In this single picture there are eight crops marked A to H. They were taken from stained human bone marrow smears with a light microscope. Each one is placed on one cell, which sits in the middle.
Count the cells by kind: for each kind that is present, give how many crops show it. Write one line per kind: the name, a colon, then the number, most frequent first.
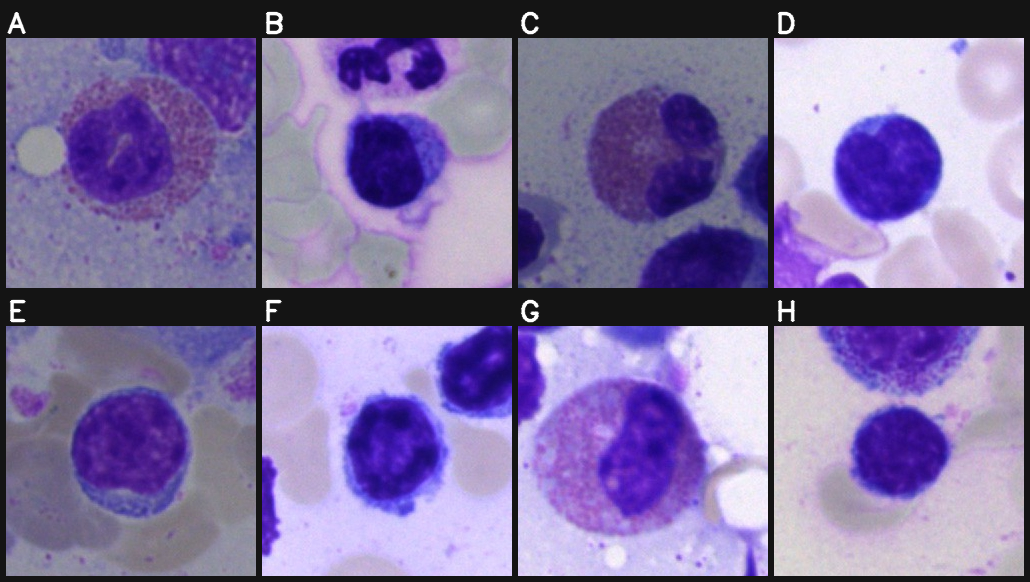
lymphocyte: 5
eosinophil: 3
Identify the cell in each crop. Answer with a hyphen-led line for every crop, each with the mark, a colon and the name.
- A: eosinophil
- B: lymphocyte
- C: eosinophil
- D: lymphocyte
- E: lymphocyte
- F: lymphocyte
- G: eosinophil
- H: lymphocyte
